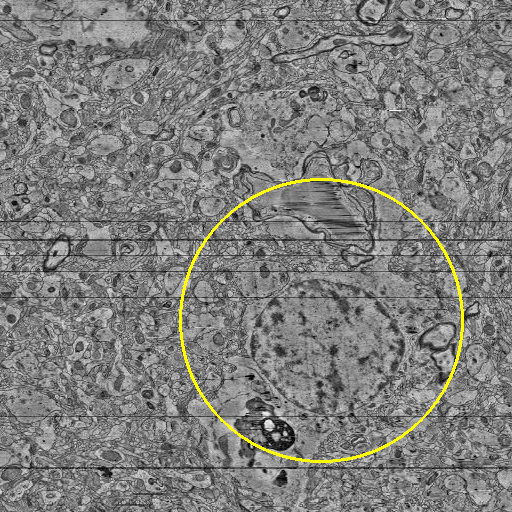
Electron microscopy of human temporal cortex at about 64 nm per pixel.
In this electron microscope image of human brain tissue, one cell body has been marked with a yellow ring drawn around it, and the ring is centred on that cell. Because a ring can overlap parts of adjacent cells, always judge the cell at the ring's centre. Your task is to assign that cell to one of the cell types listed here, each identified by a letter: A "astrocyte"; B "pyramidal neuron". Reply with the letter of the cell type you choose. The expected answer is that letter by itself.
A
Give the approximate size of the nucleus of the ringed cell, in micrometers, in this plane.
The nucleus of the ringed cell is approximately 9 micrometres across in this plane.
